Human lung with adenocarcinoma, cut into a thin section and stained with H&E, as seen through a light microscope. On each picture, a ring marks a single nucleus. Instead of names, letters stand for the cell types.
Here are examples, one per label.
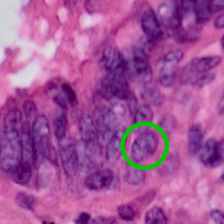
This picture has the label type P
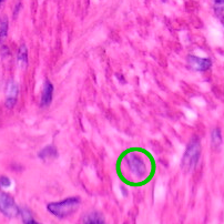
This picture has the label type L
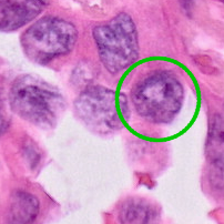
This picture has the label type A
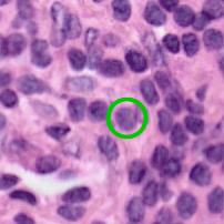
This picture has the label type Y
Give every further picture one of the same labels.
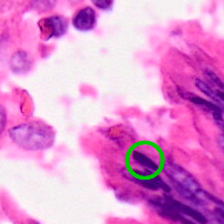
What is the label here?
type P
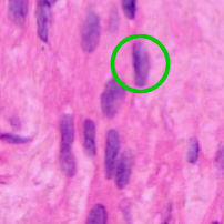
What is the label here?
type L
